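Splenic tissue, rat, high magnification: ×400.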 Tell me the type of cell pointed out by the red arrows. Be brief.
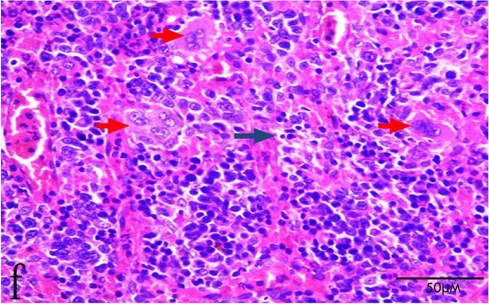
megakaryocytes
